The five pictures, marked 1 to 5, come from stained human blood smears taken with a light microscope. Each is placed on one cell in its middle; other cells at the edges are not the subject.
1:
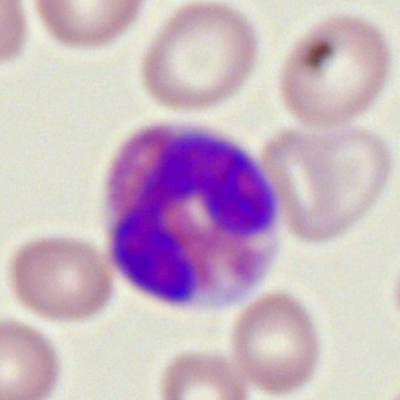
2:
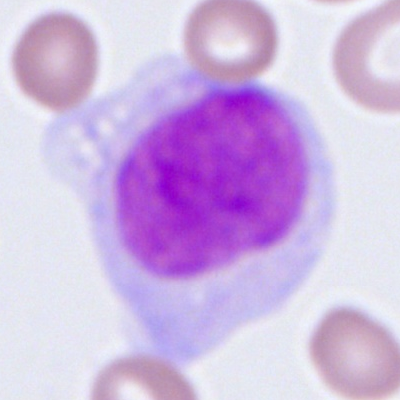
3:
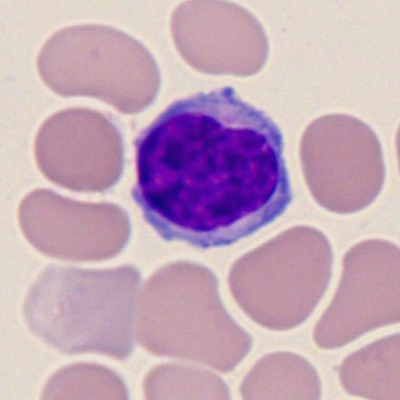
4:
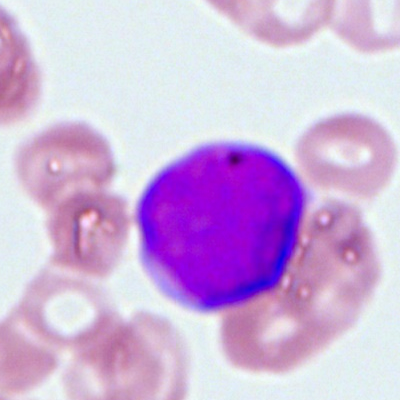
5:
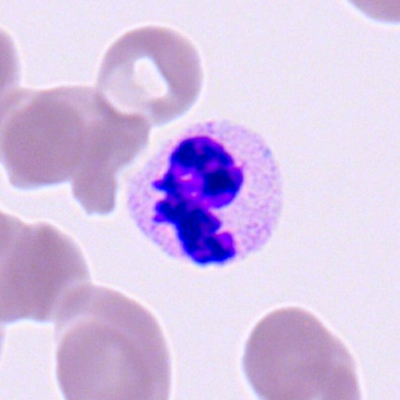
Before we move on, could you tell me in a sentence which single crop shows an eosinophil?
The crop marked 1 is the one in which an eosinophil is shown.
